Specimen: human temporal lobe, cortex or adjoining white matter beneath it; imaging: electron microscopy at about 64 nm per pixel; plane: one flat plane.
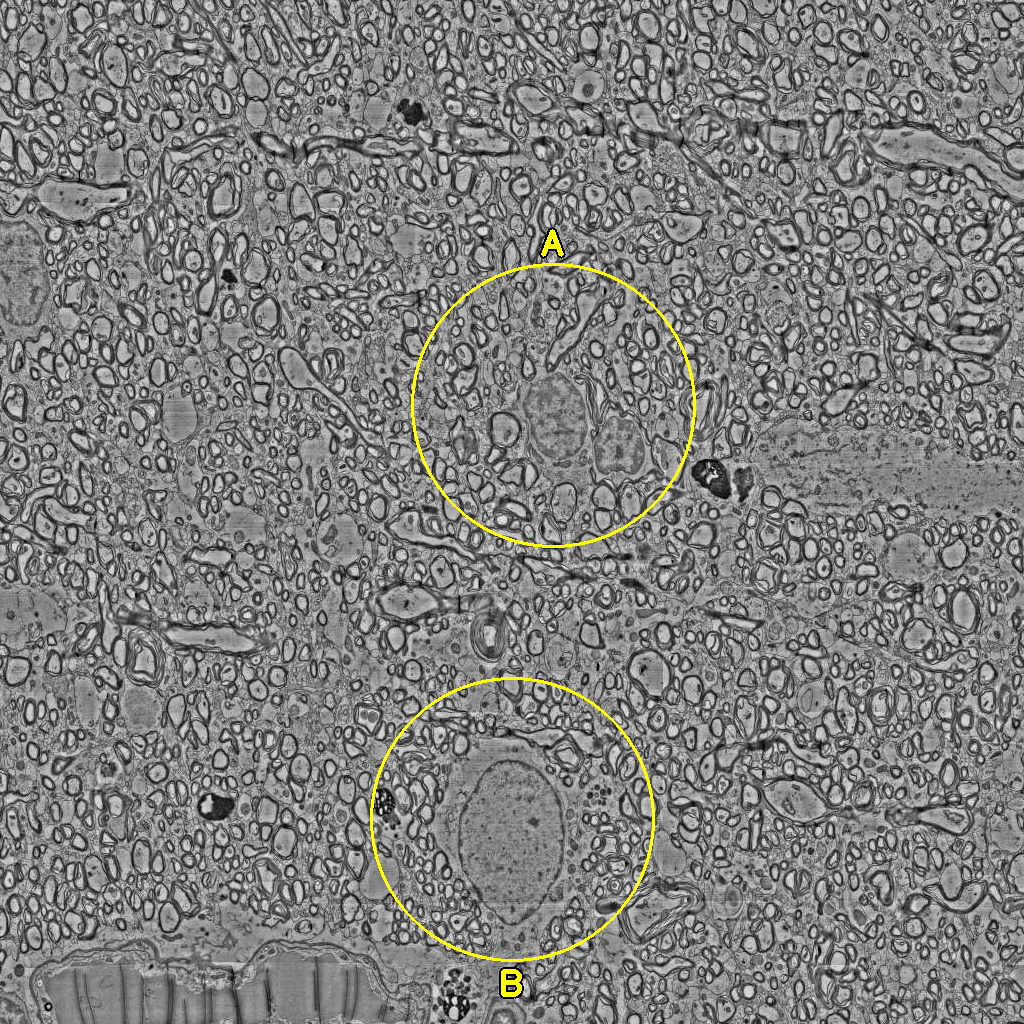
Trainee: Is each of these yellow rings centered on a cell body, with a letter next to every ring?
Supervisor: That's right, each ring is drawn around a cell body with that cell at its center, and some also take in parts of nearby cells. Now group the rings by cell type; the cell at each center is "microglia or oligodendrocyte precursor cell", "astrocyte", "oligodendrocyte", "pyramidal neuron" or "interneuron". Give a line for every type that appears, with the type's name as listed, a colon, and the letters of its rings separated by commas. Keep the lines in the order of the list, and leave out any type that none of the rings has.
astrocyte: B
oligodendrocyte: A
